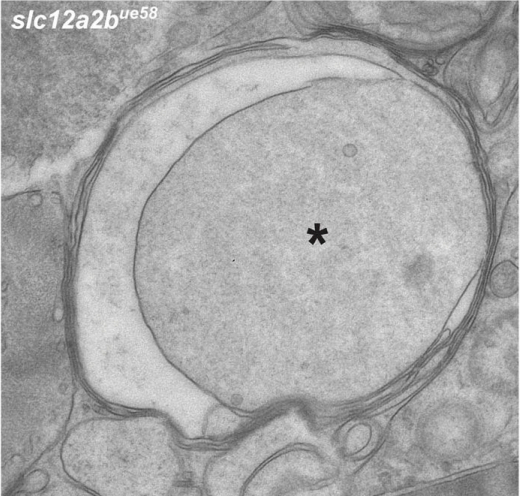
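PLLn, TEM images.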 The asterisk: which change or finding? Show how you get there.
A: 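Enlarged axon. The marked profile is a large round axon filling most of the field, far larger than the small profiles around it. It is surrounded by a thin multilamellar sheath.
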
